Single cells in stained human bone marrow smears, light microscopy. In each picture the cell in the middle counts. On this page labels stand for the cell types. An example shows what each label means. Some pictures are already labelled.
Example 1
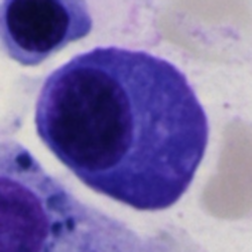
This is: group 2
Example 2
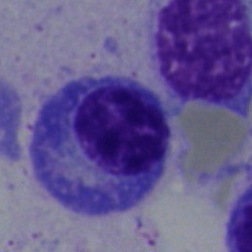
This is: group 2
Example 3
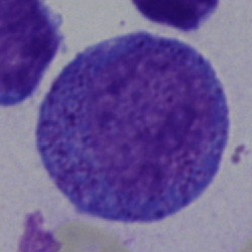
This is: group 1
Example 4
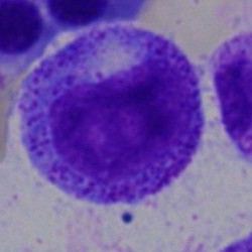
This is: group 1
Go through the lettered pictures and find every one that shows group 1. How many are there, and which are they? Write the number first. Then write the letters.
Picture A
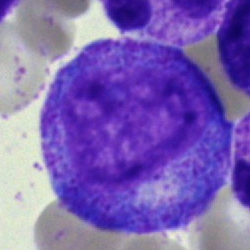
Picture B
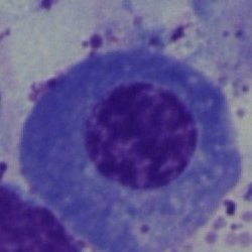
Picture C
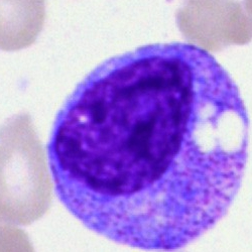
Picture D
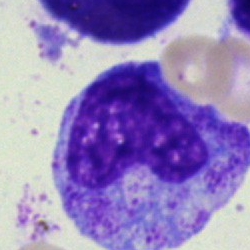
Count: 3 (A, C, D)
